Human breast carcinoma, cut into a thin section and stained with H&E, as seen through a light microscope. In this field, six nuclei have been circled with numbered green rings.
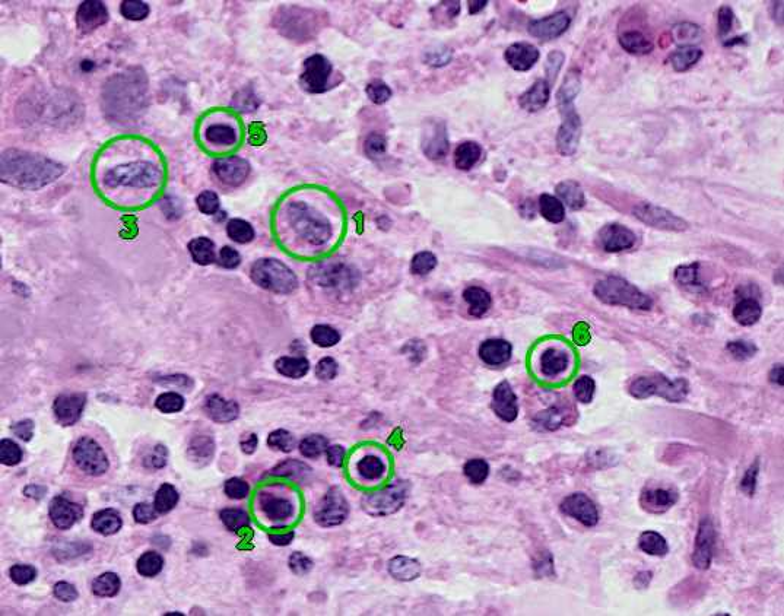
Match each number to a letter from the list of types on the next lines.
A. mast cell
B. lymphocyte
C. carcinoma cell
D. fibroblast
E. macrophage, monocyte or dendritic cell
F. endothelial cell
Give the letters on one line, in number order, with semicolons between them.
E; B; E; B; B; B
